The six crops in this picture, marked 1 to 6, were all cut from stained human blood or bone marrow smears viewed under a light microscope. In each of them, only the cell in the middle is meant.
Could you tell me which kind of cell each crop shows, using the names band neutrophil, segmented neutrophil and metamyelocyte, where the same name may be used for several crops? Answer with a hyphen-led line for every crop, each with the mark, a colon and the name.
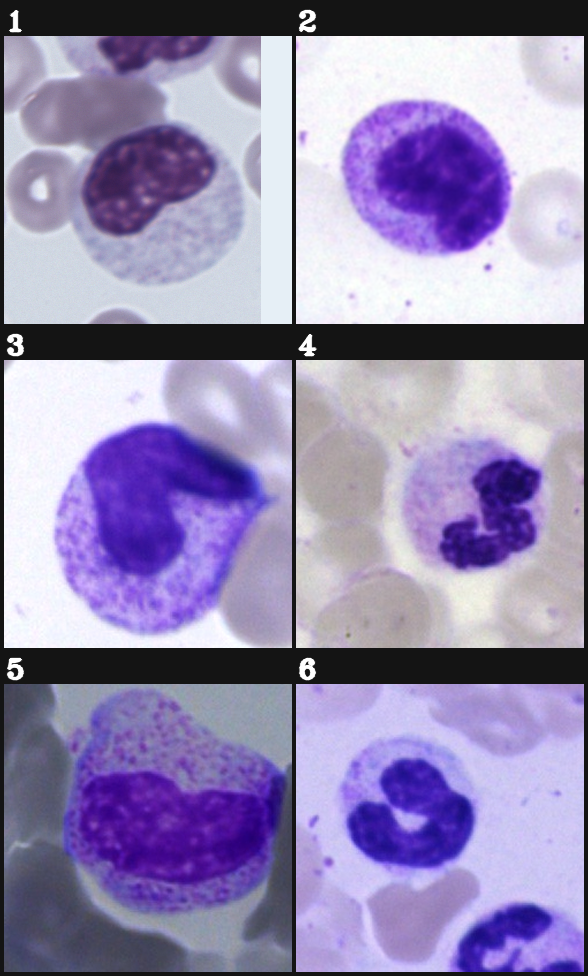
- 1: metamyelocyte
- 2: metamyelocyte
- 3: metamyelocyte
- 4: segmented neutrophil
- 5: metamyelocyte
- 6: band neutrophil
